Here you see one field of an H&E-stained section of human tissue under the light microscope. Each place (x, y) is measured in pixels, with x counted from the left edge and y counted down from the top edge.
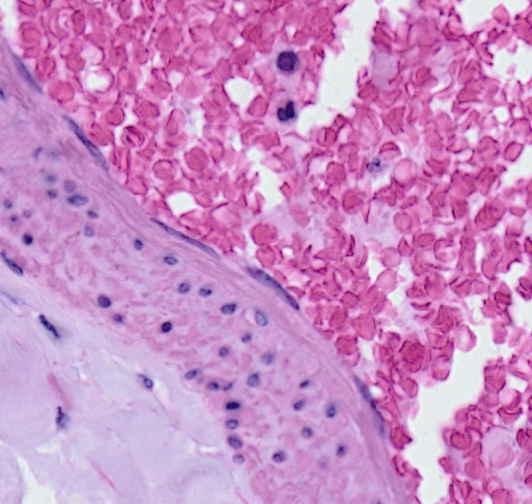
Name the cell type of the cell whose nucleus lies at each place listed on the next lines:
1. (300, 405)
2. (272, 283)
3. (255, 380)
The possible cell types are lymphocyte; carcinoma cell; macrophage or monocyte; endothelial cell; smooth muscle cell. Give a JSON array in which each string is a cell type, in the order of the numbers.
["smooth muscle cell", "endothelial cell", "smooth muscle cell"]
